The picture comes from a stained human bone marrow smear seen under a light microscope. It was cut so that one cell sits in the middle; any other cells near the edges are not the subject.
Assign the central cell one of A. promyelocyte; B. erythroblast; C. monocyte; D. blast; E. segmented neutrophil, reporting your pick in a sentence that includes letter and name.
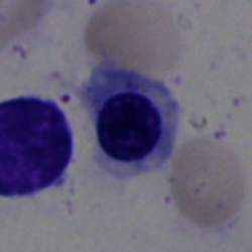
As the central cell is an erythroblast, option B is correct.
